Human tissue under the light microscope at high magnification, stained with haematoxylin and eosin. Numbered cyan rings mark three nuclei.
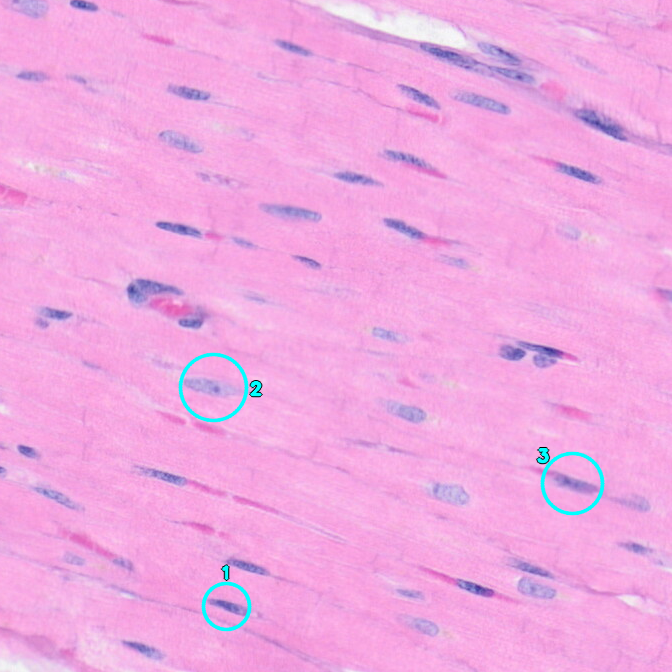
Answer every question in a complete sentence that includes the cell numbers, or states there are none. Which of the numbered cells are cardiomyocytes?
Cell 2 is a cardiomyocyte, and this holds for no other numbered cell.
